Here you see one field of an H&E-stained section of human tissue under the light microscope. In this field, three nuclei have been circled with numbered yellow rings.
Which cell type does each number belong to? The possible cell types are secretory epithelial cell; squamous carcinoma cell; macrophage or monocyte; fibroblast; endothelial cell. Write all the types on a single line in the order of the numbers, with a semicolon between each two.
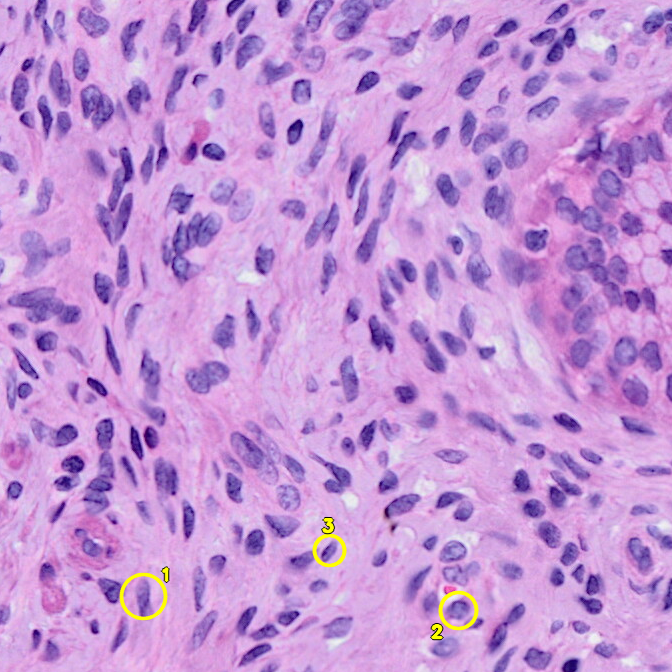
fibroblast; endothelial cell; fibroblast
